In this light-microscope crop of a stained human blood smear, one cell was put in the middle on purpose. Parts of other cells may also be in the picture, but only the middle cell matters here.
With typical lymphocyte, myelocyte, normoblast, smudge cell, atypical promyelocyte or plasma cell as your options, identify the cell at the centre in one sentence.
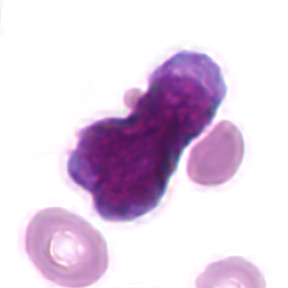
The cell of interest, located centrally, is an atypical promyelocyte.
